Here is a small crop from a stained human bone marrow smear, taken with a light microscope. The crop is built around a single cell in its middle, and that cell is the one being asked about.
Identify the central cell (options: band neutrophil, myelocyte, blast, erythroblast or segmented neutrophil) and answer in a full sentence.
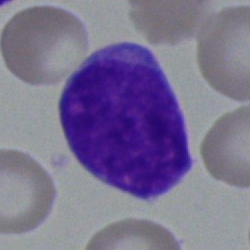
In the middle of this smear crop is a blast.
